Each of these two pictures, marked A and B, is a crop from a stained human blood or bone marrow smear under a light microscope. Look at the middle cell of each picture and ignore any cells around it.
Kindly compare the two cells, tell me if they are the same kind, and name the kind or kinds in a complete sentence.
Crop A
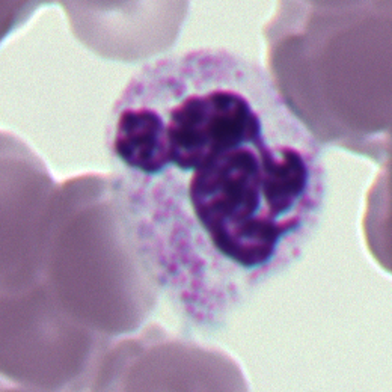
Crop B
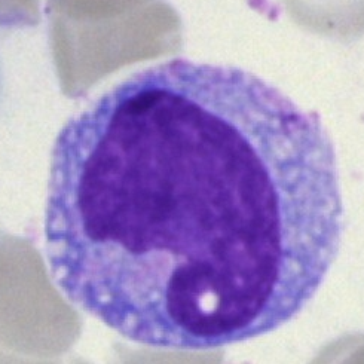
No, crop A is to be identified as a segmented neutrophil and crop B as a monocyte.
